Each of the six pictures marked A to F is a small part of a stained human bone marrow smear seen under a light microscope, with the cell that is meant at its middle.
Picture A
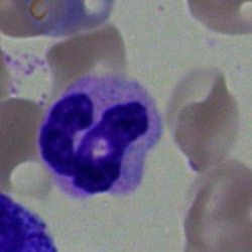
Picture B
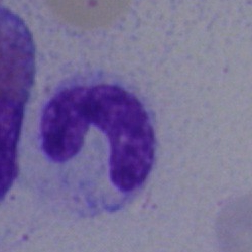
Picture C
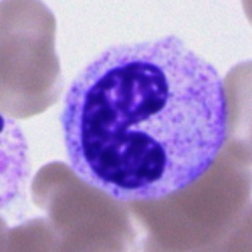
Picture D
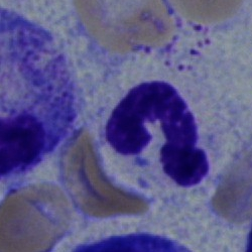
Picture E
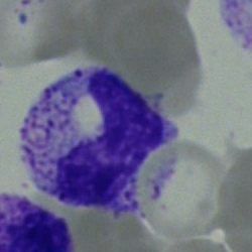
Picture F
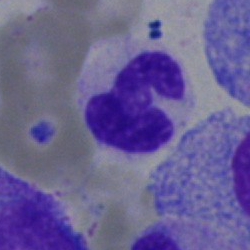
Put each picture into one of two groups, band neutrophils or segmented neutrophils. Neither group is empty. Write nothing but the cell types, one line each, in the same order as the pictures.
segmented neutrophil
band neutrophil
band neutrophil
band neutrophil
band neutrophil
segmented neutrophil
